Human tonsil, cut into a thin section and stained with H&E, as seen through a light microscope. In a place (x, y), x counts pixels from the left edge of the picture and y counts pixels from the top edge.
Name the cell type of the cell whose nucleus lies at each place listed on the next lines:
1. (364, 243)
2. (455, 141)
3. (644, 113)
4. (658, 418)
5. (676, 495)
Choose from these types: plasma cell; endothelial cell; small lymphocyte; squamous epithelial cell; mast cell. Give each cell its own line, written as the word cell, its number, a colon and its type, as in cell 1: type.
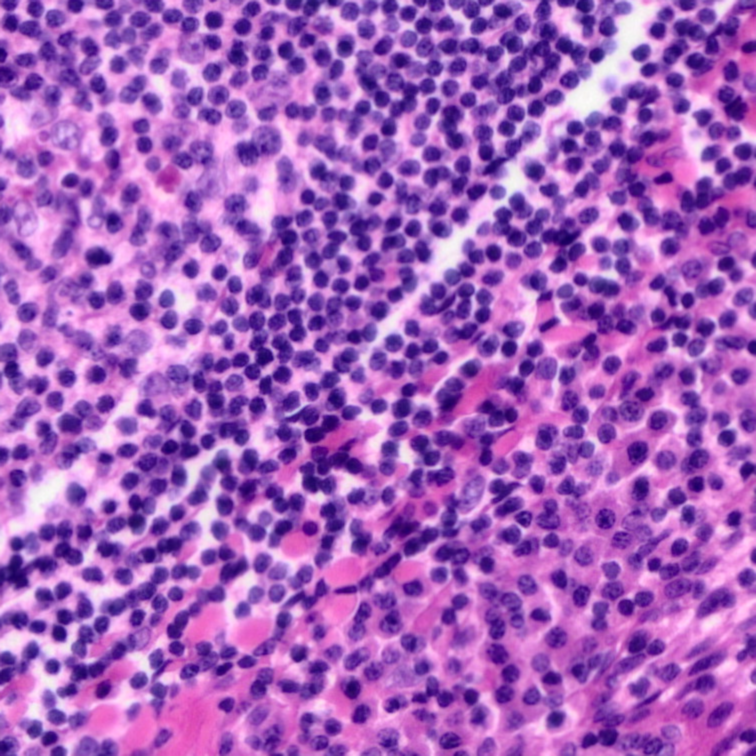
cell 1: small lymphocyte
cell 2: small lymphocyte
cell 3: small lymphocyte
cell 4: plasma cell
cell 5: plasma cell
